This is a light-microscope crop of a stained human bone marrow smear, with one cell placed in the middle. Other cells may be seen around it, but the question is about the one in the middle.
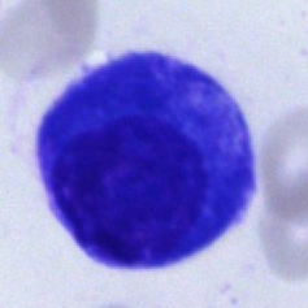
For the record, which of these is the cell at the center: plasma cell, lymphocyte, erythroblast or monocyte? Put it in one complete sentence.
On this slide crop, the central cell is a plasma cell.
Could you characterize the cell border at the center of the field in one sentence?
Smooth edges only, with no spikes, blebs, or other projections.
